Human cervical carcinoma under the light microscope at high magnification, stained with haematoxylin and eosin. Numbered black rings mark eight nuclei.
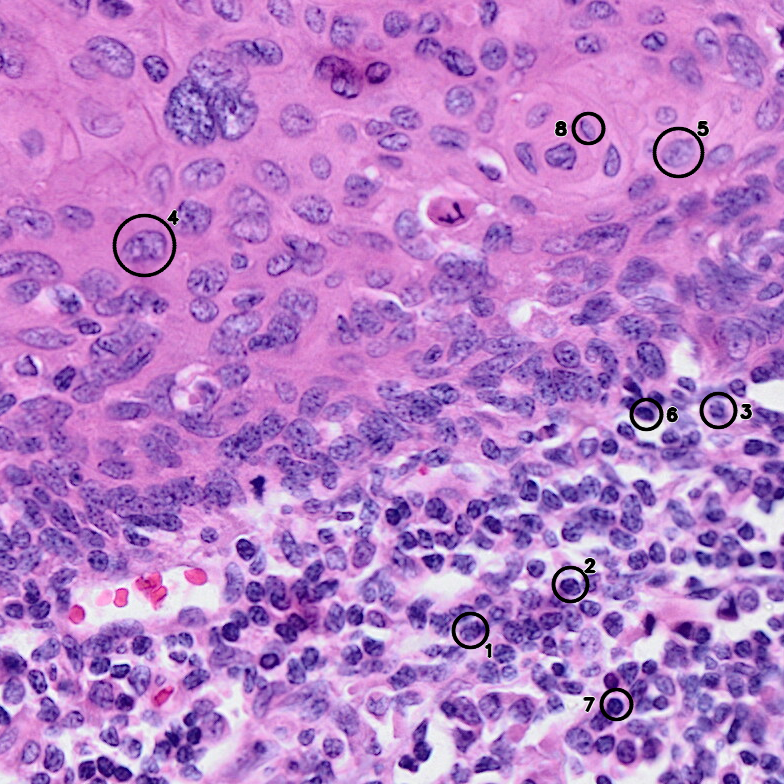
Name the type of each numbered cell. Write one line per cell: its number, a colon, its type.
1: lymphocyte
2: lymphocyte
3: lymphocyte
4: squamous carcinoma cell
5: squamous carcinoma cell
6: lymphocyte
7: lymphocyte
8: squamous carcinoma cell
